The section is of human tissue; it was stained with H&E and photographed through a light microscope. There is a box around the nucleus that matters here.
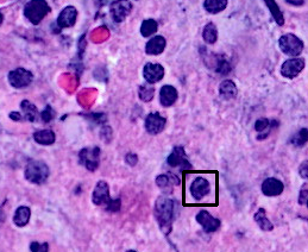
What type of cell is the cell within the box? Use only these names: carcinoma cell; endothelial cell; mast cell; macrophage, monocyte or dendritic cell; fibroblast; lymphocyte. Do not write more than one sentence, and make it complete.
It is a lymphocyte that the cell within the box represents.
